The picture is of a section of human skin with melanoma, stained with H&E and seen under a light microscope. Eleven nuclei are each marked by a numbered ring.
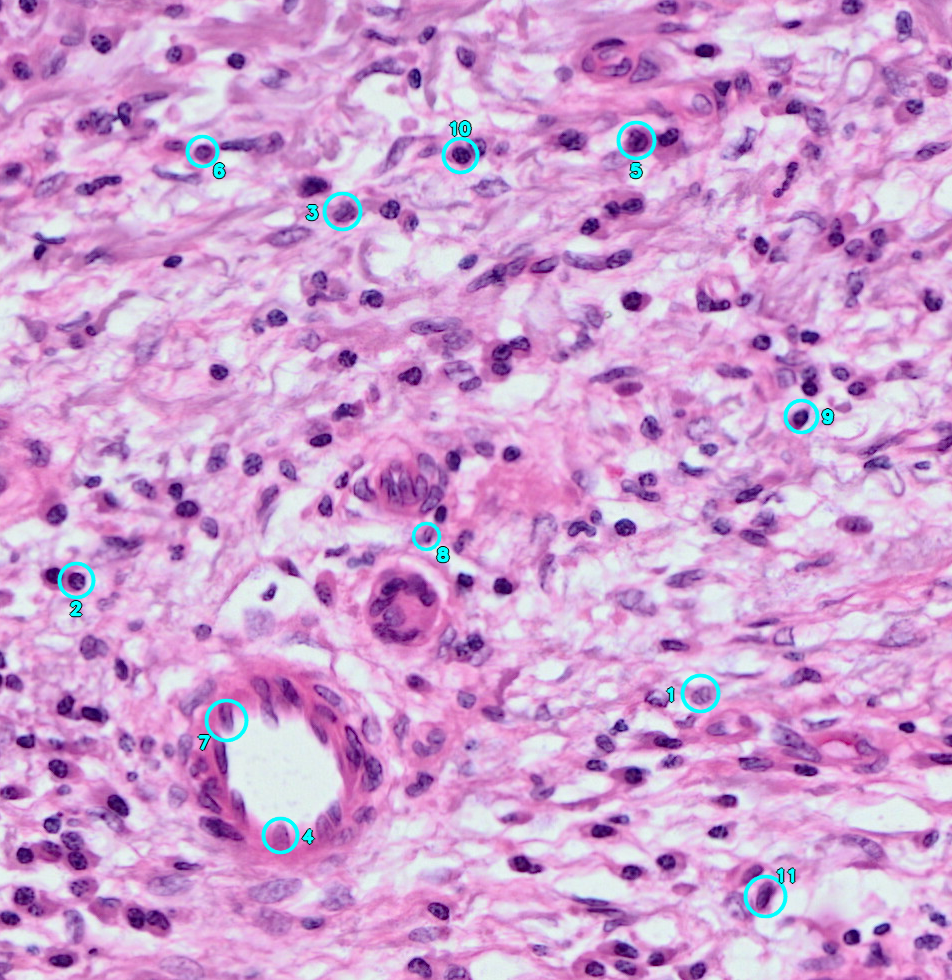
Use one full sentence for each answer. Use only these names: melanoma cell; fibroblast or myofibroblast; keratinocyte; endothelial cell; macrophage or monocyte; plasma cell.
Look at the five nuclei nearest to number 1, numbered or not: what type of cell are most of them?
Of the five nuclei nearest to number 1, most belong to fibroblasts or myofibroblasts.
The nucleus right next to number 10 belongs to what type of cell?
The cell nearest to number 10 is a plasma cell.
